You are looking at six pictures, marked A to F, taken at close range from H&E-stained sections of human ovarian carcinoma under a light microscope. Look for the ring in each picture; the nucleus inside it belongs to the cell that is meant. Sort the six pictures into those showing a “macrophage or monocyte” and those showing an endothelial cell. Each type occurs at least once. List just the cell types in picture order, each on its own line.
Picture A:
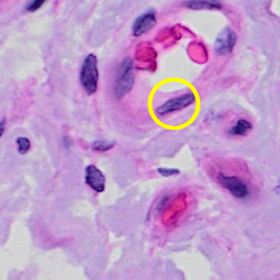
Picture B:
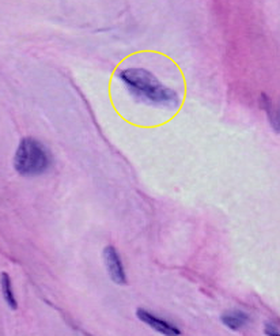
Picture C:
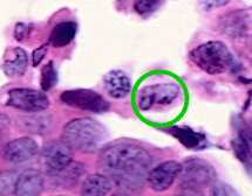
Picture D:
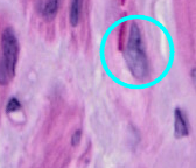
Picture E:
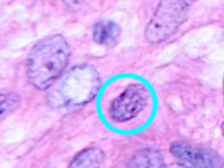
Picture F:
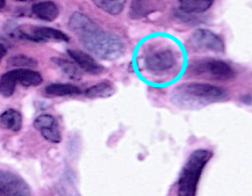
endothelial cell
endothelial cell
macrophage or monocyte
endothelial cell
macrophage or monocyte
macrophage or monocyte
